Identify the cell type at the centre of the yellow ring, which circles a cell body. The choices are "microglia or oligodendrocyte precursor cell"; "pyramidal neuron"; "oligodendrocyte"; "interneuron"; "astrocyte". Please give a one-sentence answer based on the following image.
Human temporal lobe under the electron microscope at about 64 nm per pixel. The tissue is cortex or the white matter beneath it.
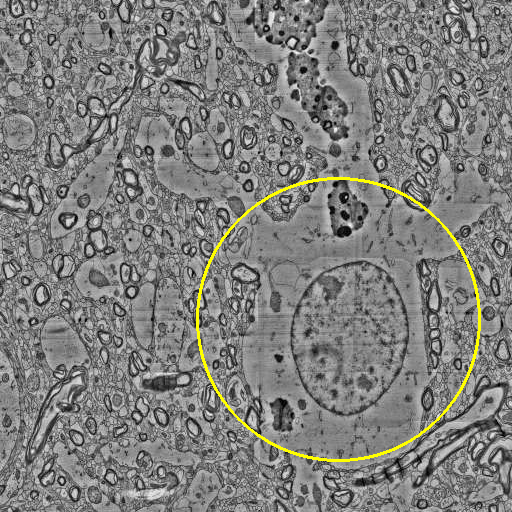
The cell marked by the ring is an astrocyte.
